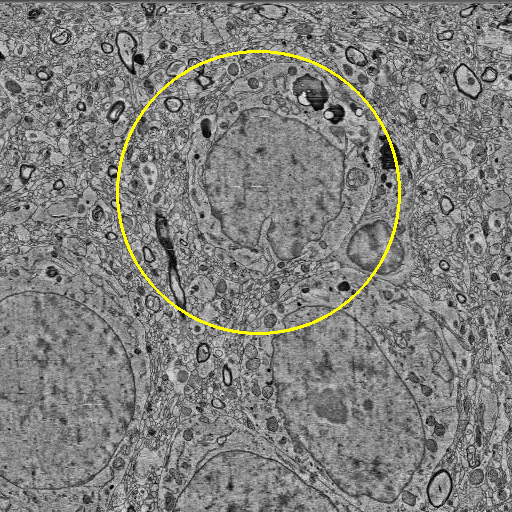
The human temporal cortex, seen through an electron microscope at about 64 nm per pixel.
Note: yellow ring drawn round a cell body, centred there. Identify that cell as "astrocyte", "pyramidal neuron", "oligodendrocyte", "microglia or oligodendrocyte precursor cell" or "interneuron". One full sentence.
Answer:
The cell in the middle of the ring is an interneuron.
